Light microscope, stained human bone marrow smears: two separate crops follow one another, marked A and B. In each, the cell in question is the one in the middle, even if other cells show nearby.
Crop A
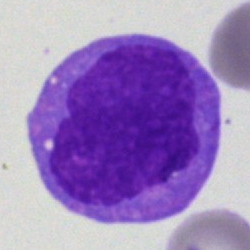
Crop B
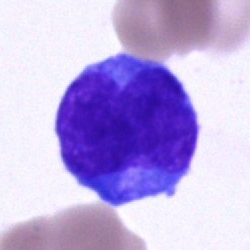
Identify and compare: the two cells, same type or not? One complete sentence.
Yes, it is blasts that occupy the middle of both crops.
